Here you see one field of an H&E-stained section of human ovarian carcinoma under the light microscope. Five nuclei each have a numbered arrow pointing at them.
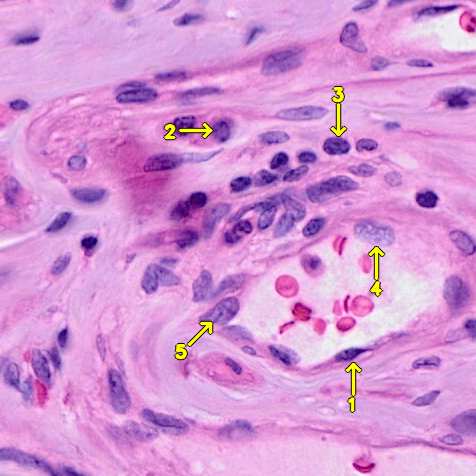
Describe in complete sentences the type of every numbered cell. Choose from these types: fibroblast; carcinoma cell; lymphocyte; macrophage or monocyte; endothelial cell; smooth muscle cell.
Cell 1 is an endothelial cell, cell 2 is a lymphocyte, cell 3 is a lymphocyte, cell 4 is an endothelial cell and cell 5 is an endothelial cell.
